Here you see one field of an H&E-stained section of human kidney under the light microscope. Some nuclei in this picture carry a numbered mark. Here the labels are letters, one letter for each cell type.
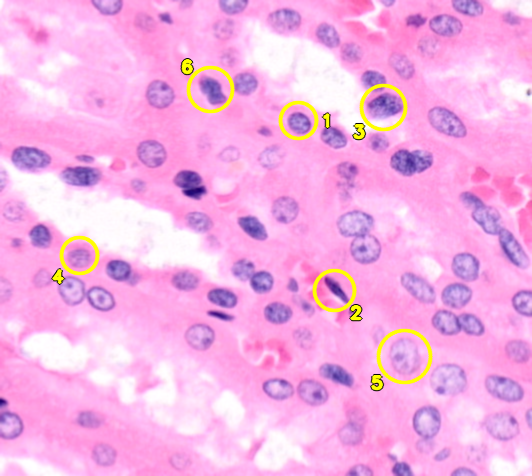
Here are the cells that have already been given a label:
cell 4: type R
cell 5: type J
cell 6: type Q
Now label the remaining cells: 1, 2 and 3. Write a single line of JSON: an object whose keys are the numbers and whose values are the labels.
{"1": "type R", "2": "type Q", "3": "type R"}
